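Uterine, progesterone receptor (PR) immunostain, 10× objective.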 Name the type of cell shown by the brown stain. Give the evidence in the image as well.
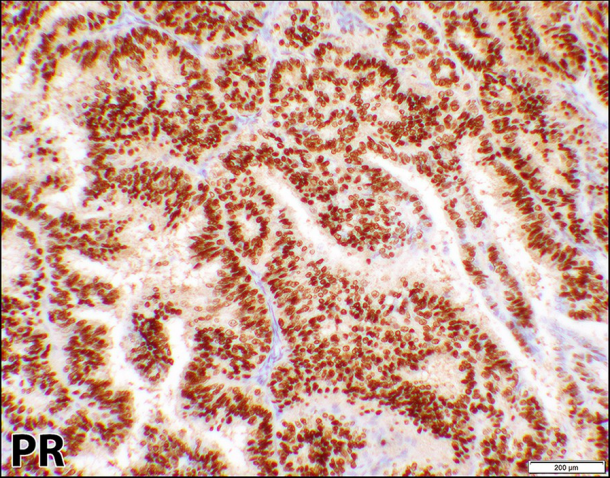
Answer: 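Brown nuclei fill crowded back-to-back glands. Stromal cells between glands are mostly blue.
Answer: malignant cells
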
